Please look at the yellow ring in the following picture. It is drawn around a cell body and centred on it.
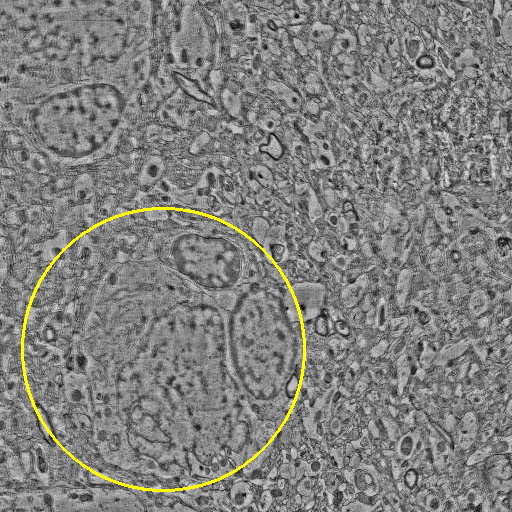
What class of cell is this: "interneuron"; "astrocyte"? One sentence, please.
The ring surrounds the cell body of an interneuron.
